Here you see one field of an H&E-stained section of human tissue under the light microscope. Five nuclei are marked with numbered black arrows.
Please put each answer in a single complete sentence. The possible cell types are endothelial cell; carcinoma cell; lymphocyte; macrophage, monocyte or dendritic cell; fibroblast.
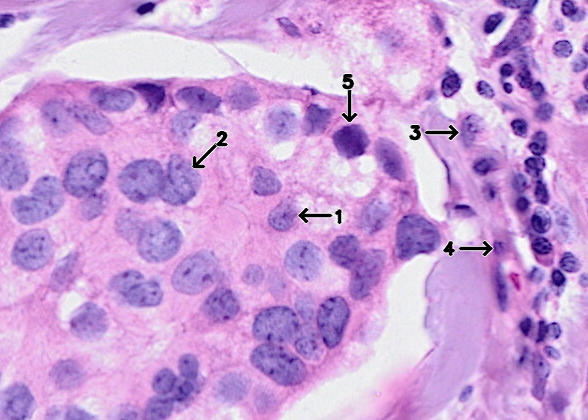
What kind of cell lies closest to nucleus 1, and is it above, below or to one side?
Lying above and to the left of nucleus 1, the nearest nucleus is that of a carcinoma cell.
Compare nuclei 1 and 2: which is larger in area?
Of the two, number 2 is bigger and takes up about 2 times the area of number 1.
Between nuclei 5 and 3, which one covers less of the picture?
Nucleus 3 is the smaller one; nucleus 5 covers about 1.5 times its area.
